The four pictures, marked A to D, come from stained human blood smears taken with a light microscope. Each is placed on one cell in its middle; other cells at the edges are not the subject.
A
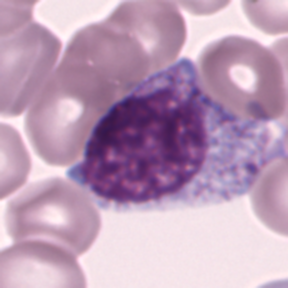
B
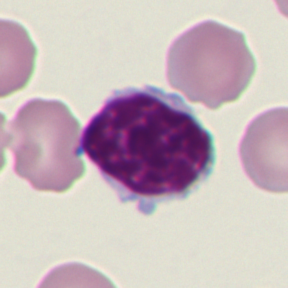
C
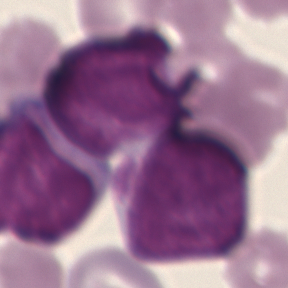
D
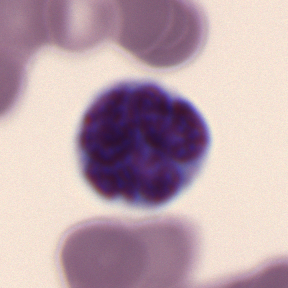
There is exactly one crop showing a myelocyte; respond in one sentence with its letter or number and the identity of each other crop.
To sum up, crop A shows a myelocyte, while crop B is a typical lymphocyte, crop C is a myeloblast and crop D is a monocyte.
